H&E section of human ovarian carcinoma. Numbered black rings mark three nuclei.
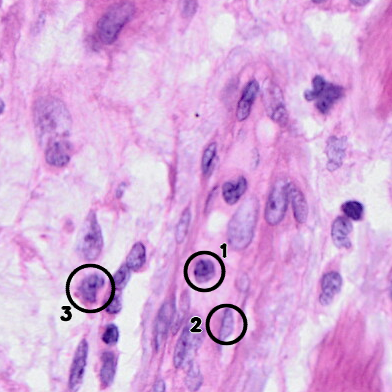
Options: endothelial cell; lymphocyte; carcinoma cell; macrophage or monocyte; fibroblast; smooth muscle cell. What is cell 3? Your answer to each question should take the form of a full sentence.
Here, the cell given the number 3 is a macrophage or monocyte.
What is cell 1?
Recognised here as a lymphocyte is the cell numbered 1.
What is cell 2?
The correct label for cell 2 is an endothelial cell.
